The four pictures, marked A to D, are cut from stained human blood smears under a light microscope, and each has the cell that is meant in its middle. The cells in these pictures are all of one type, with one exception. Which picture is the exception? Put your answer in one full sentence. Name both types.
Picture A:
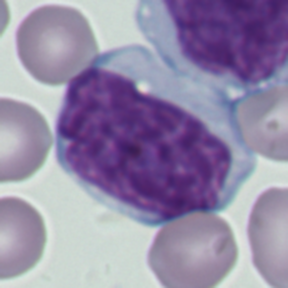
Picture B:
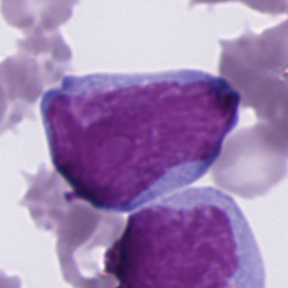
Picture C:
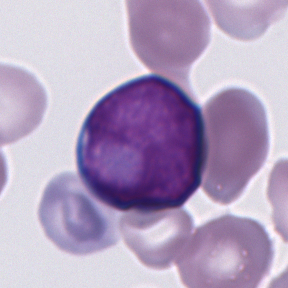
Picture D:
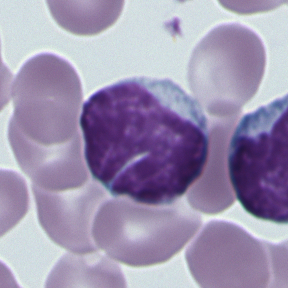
Picture D differs, because its cell is a typical lymphocyte and the rest are myeloblasts.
